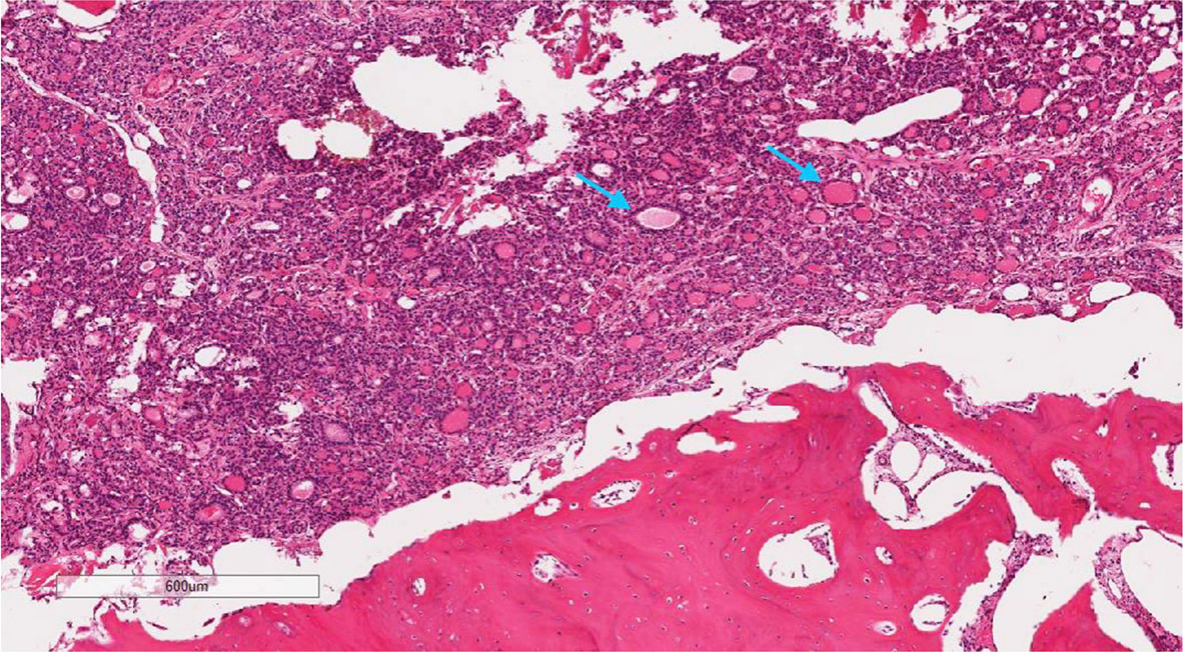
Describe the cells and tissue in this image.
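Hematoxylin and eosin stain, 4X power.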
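Sheets of closely packed tumor cells with dark purple nuclei fill the upper two thirds of the field, many of them arranged around small round follicles filled with homogeneous pink colloid-like material. The follicles vary in size, some tiny, a few larger and pale. Thin strands of pale pink fibrous stroma run between groups of cells, and irregular clear spaces are scattered through the sheet. Along the lower part of the field lies dense pink bone with scattered small lacunae; its upper border facing the tumor is irregular and scalloped. At the lower right the bone is broken into trabeculae with marrow spaces containing loose tissue.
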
